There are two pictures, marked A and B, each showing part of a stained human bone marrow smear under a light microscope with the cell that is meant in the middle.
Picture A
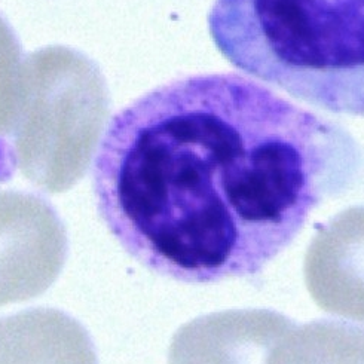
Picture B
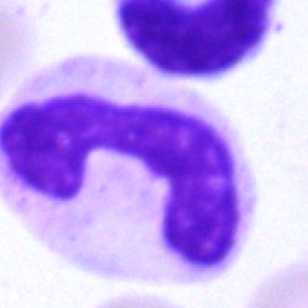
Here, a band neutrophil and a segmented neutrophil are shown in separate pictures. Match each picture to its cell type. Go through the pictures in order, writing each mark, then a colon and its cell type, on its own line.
A: segmented neutrophil
B: band neutrophil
